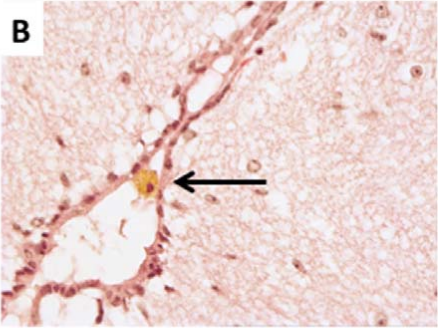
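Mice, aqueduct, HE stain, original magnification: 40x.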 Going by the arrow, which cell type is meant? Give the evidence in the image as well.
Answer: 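A single rounded cell filled with golden-brown granular pigment. It sits at the lining of a channel within pale neural tissue. On this evidence: hemosiderophage.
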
